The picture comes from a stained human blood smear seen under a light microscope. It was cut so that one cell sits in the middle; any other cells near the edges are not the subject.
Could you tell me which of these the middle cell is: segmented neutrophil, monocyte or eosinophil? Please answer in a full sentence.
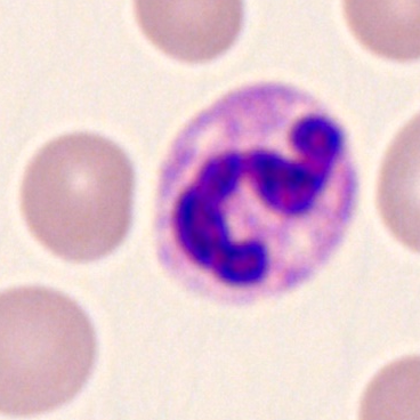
The cell that lies at the centre of the crop is a segmented neutrophil.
